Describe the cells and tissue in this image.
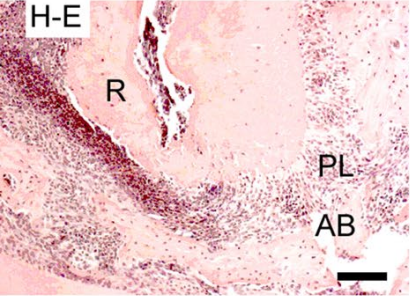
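A pale pink, largely acellular mass of root tissue occupies the upper part, with a narrow cleft running into it. Wrapped around its lower surface lies a dense band of small, dark-purple nuclei, packed most tightly right against the root and thinning out further away. Beyond this band is looser, paler connective tissue with scattered nuclei, and towards the right edge, at the labelled bone, paler pink matrix with sparse cells. Taken together, this is the periapical lesion: a cellular soft-tissue zone lying between the tooth root and the alveolar bone.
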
